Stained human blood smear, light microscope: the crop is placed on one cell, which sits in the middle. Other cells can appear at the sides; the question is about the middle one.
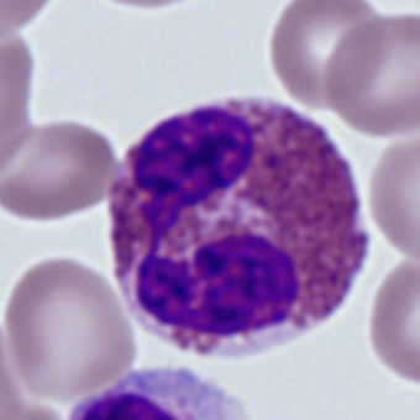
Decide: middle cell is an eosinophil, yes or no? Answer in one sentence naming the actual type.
Yes, the middle cell here is an eosinophil.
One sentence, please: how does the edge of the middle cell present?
No surface projections are present; the cell outline is smooth.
